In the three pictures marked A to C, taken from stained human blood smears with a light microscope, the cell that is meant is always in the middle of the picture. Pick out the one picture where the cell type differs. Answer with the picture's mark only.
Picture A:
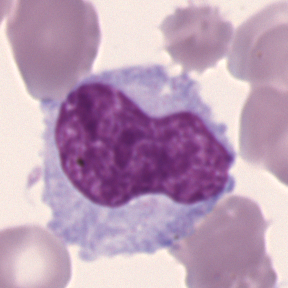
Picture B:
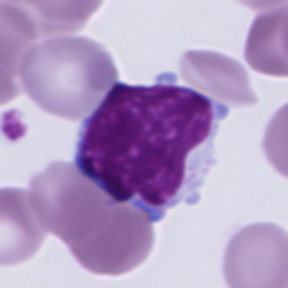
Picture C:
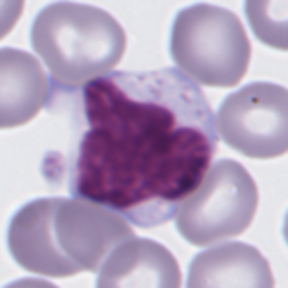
A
